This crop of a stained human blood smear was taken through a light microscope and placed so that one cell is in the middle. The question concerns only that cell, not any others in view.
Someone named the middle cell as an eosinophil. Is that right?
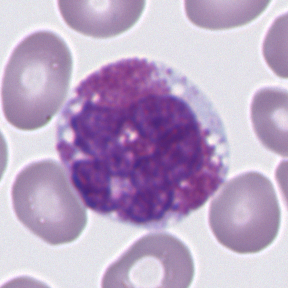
yes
